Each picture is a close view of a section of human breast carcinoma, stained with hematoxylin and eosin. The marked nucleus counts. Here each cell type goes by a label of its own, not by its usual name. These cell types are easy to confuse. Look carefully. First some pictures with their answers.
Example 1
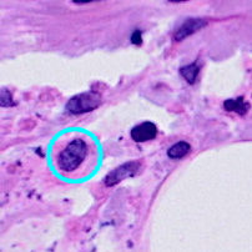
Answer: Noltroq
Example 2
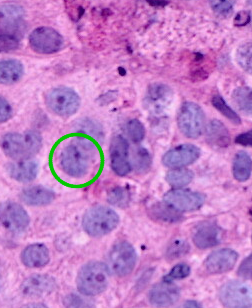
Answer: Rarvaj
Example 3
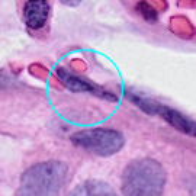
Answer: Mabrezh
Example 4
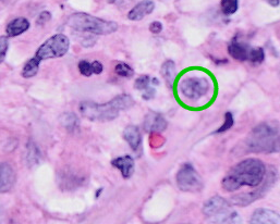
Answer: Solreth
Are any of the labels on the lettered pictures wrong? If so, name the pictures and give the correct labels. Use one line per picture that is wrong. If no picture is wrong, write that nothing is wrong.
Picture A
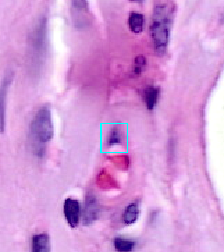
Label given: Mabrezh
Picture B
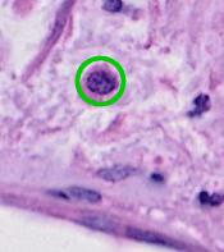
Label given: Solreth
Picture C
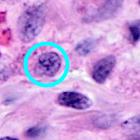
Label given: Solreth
B: change Solreth to Noltroq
